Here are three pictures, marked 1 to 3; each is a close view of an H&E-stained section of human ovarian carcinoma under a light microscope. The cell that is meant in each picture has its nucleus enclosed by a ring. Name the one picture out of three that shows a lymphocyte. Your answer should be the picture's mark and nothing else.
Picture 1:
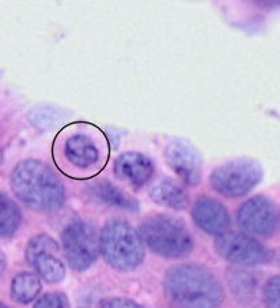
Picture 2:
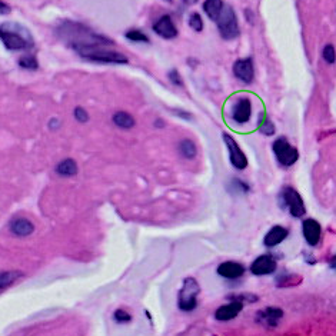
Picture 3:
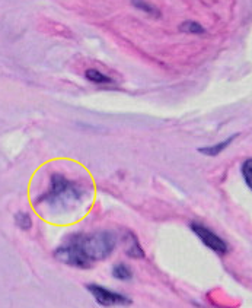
2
